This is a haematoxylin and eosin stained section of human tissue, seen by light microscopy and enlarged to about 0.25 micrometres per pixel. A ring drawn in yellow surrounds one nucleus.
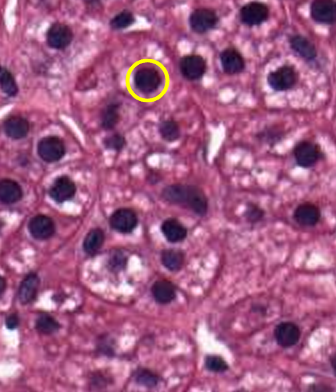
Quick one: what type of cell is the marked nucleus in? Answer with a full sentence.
As shown, the marked nucleus belongs to an adrenal cortical cell.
